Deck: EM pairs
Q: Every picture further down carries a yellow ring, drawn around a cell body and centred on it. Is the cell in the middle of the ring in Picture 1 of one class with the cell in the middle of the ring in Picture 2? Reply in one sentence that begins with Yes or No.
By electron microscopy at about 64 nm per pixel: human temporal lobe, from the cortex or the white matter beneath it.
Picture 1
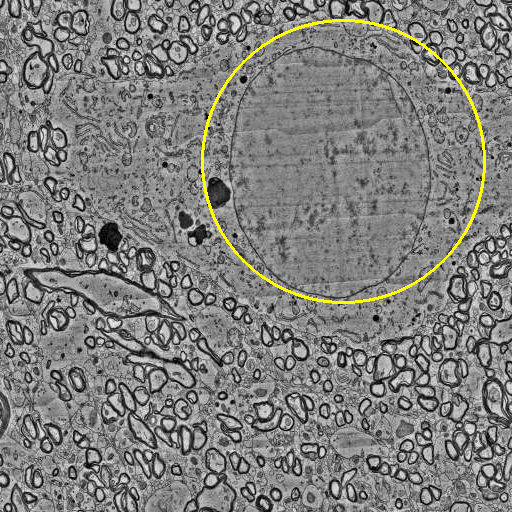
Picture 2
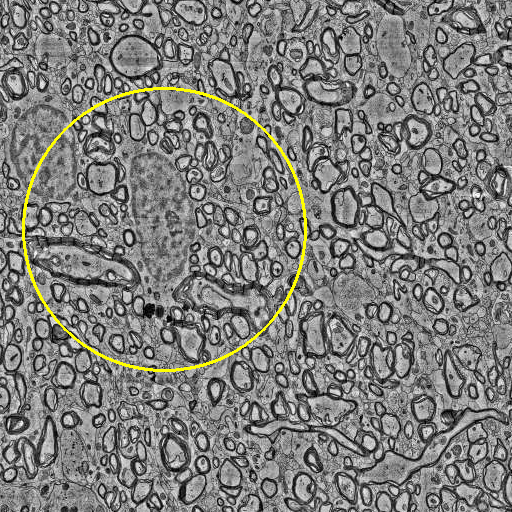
No, the cell centred in the ring of Picture 1 and the one in Picture 2 belong to separate classes.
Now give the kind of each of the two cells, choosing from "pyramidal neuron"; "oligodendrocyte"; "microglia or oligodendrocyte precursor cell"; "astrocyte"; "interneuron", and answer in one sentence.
The cell in the first picture is a pyramidal neuron, and the cell in the second is an oligodendrocyte.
